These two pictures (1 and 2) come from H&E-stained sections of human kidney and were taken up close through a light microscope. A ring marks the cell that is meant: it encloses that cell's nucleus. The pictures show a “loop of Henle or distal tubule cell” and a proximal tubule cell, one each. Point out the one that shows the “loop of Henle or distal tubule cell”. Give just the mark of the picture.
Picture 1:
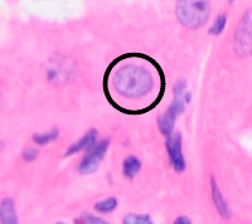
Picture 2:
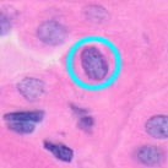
2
